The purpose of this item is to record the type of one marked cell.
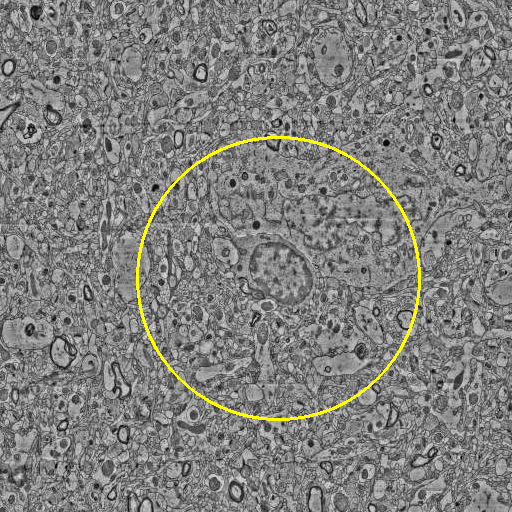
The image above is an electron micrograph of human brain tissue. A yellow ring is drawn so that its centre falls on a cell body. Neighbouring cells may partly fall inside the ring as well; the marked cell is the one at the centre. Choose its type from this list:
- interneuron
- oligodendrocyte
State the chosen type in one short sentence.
What the ring marks here is an oligodendrocyte.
